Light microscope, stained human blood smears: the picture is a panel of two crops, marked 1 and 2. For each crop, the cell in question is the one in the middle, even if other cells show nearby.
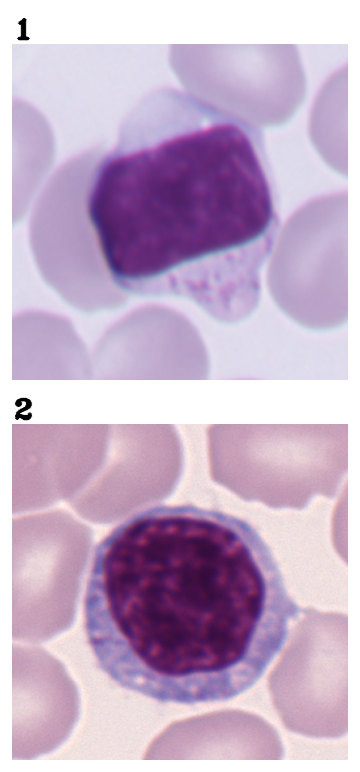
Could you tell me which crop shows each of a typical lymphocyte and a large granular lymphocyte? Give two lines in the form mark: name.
1: large granular lymphocyte
2: typical lymphocyte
